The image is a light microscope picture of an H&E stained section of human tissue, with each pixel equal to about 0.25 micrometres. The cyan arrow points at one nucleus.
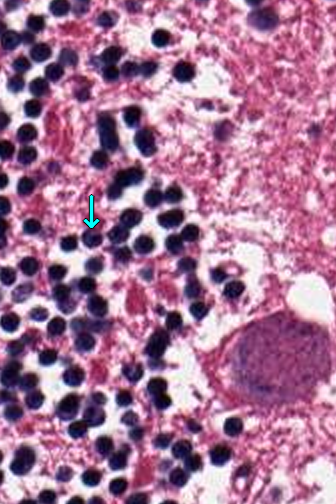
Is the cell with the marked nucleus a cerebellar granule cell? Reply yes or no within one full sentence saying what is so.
Yes, the marked nucleus is that of a cerebellar granule cell.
